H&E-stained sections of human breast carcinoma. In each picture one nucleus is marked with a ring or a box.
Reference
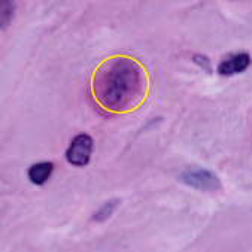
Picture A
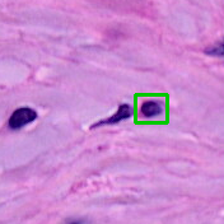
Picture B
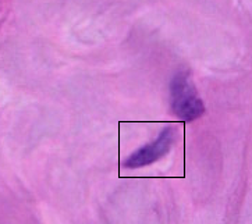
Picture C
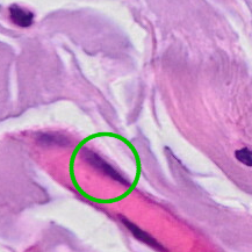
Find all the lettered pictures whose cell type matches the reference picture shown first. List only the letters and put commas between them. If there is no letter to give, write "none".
A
